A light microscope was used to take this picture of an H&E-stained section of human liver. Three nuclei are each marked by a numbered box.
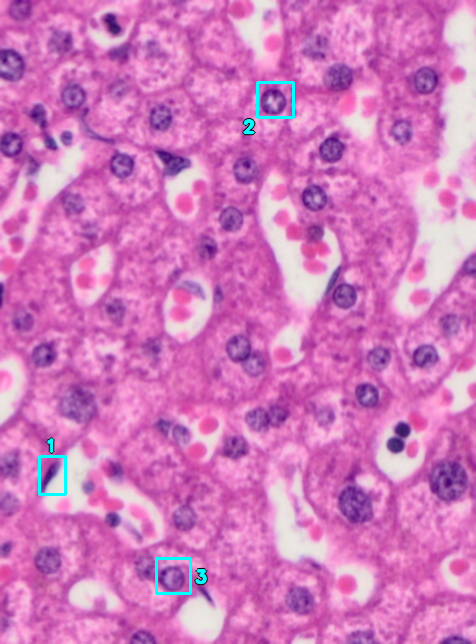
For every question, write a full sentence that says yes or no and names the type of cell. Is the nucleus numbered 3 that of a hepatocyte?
Yes, the cell that is numbered 3 is a hepatocyte.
